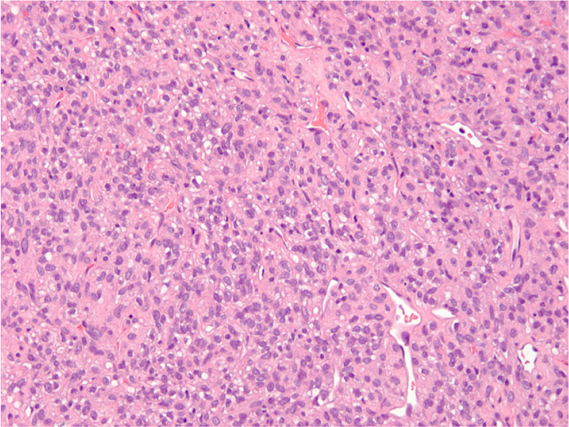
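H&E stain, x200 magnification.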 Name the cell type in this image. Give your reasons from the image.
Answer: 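Spindle cells. Densely packed cells with oval to elongated nuclei. Cells arranged without a distinct pattern.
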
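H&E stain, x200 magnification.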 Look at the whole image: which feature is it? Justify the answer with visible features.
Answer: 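Slit-like, branching vascular spaces lined by a thin wall. Some spaces contain red blood cells. On this evidence: thin-walled branching vessels.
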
